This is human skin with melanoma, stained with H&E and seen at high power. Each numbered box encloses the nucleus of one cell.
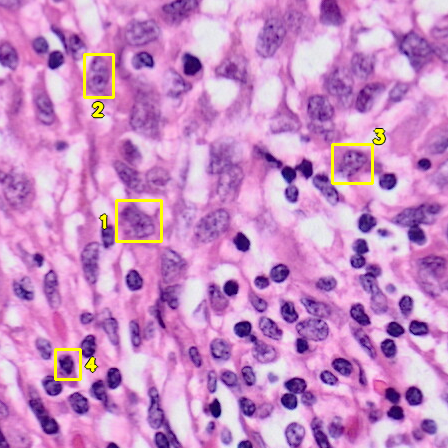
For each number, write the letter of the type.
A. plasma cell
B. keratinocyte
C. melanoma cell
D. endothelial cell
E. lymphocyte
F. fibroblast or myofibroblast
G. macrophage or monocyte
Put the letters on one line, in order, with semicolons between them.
C; C; C; A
